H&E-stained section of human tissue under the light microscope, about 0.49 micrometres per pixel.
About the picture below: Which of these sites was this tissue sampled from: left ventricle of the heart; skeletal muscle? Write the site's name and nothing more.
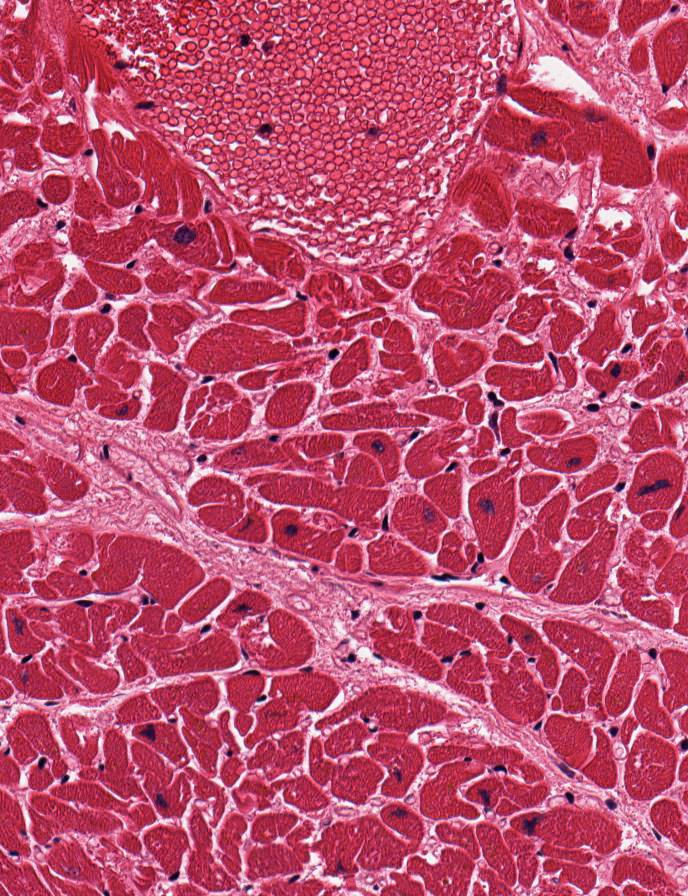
left ventricle of the heart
